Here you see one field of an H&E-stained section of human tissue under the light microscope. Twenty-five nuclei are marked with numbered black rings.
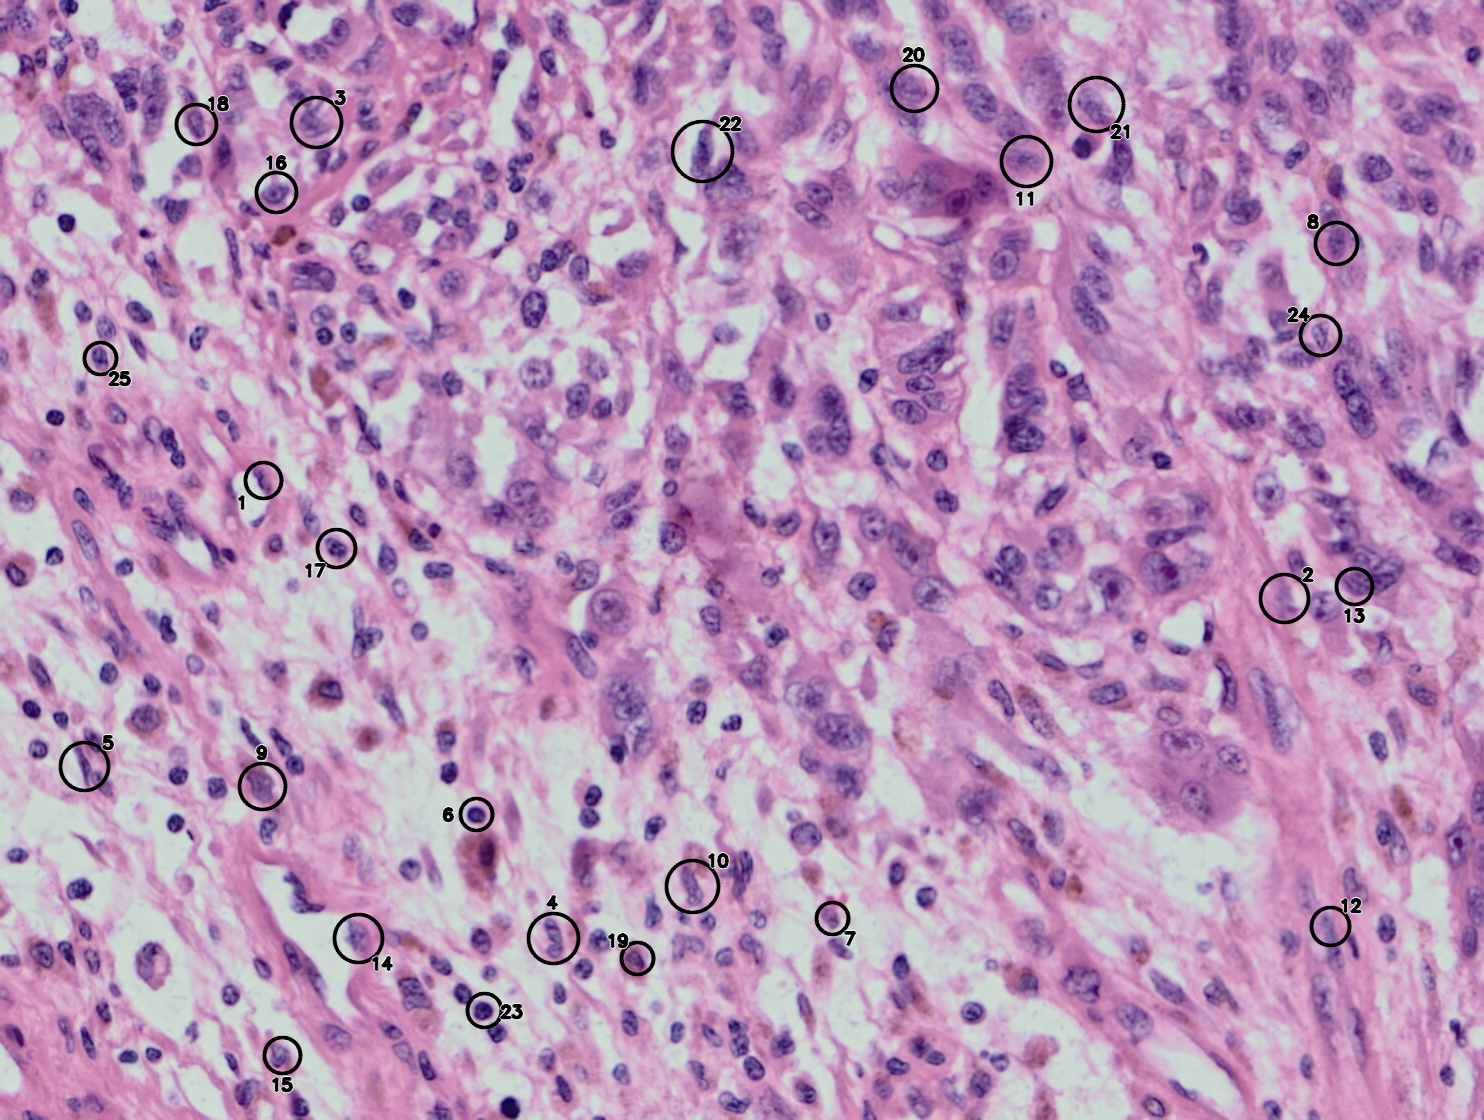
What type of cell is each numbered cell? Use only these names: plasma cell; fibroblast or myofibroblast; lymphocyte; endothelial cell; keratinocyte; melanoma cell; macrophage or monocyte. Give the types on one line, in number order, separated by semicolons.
endothelial cell; fibroblast or myofibroblast; melanoma cell; macrophage or monocyte; fibroblast or myofibroblast; lymphocyte; macrophage or monocyte; melanoma cell; macrophage or monocyte; macrophage or monocyte; melanoma cell; endothelial cell; melanoma cell; endothelial cell; macrophage or monocyte; melanoma cell; plasma cell; macrophage or monocyte; macrophage or monocyte; melanoma cell; melanoma cell; melanoma cell; lymphocyte; macrophage or monocyte; lymphocyte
